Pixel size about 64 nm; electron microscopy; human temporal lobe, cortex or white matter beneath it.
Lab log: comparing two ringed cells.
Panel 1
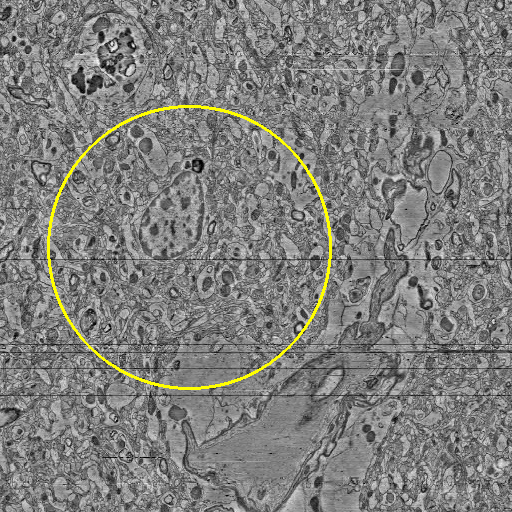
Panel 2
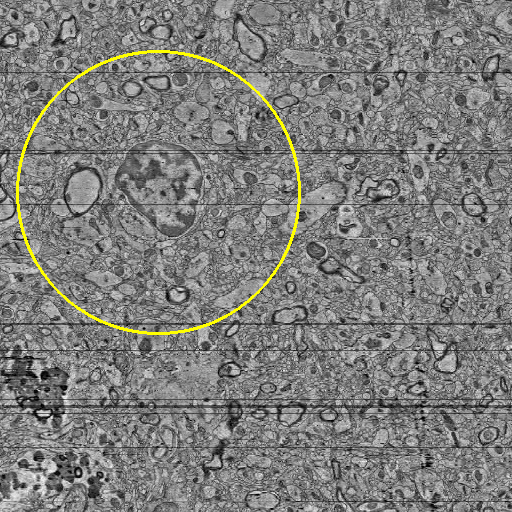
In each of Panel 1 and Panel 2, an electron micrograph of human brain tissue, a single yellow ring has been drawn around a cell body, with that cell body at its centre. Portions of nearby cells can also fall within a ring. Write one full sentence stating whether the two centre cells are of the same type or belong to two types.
The cells at the ring centres in Panel 1 and Panel 2 are of the same type.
